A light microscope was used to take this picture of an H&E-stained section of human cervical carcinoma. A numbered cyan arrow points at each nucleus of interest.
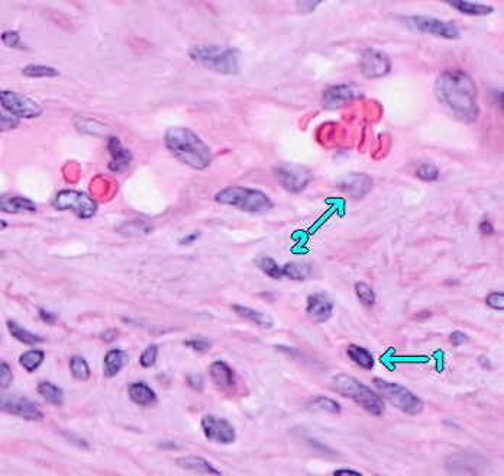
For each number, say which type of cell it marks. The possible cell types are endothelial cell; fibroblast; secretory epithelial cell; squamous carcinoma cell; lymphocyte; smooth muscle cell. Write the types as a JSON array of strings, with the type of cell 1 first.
["lymphocyte", "endothelial cell"]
